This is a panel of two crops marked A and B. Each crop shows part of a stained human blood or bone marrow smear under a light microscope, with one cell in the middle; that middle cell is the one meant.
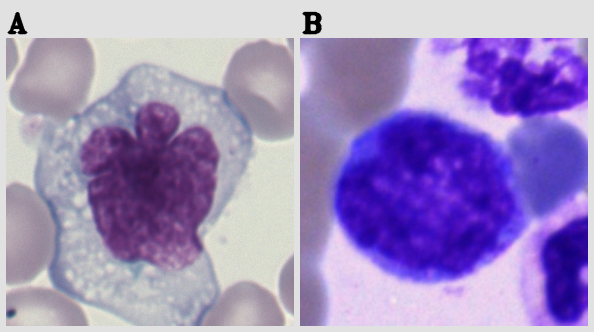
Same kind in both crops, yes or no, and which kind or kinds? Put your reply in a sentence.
Yes, they do, both crops show monocytes.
